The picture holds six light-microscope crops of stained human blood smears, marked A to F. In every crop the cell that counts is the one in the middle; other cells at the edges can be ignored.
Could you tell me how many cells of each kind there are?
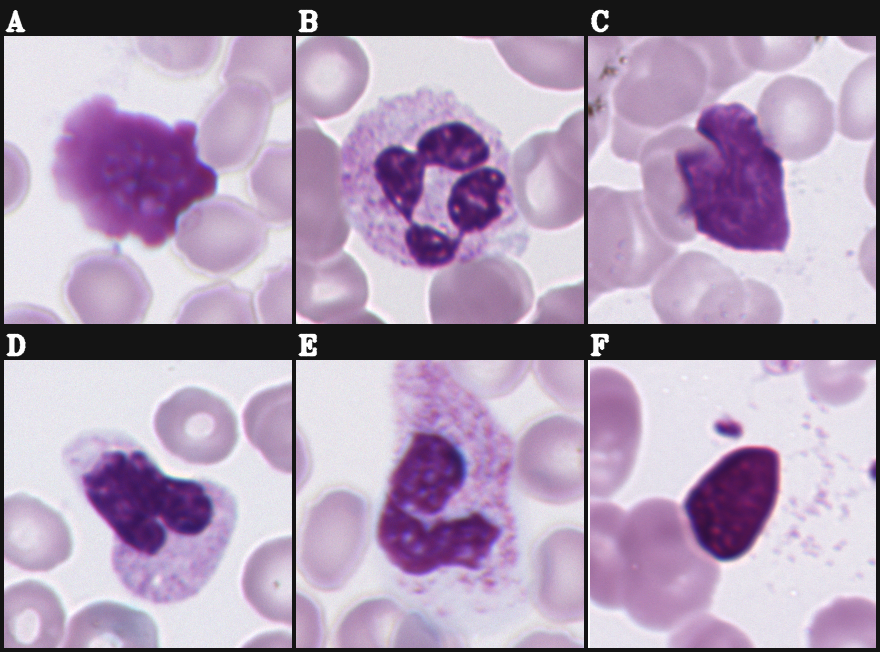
smudge cell: 3
neutrophil: 3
